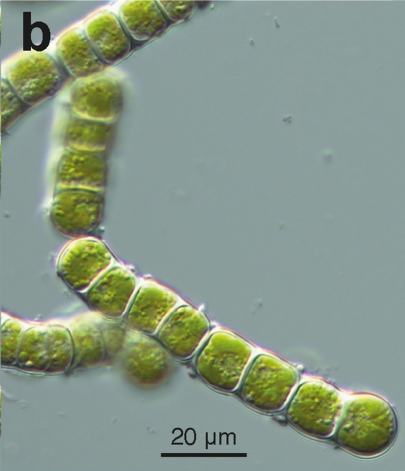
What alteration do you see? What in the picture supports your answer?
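Cells grouped in two-celled units.
Conclusion: Fragmented filament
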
